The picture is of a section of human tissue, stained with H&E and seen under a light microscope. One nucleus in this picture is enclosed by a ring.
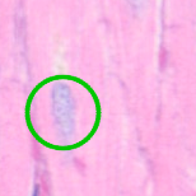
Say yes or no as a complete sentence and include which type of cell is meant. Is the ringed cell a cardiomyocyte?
Yes, the ringed cell is a cardiomyocyte; nothing to add.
